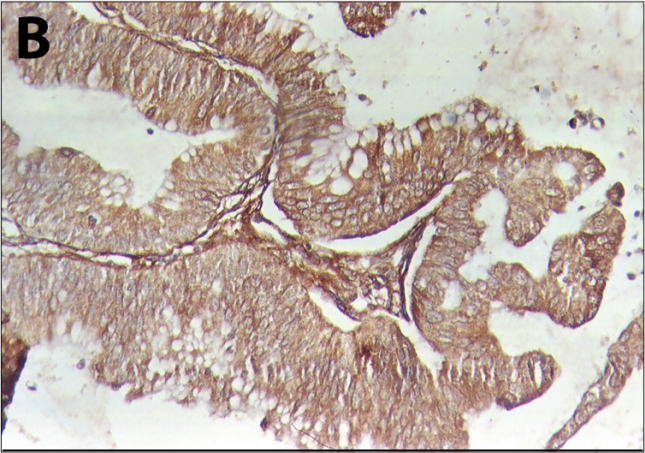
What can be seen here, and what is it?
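The cells stand in crowded palisades along thin fibrous stromal cores, and their nuclei are elongated and stacked. Many clear, round vacuoles resembling mucin lie within the epithelium, especially towards the luminal surface. Brown staining fills the cytoplasm and accentuates the cell borders, giving the epithelium a uniformly brown appearance. The stroma between the folds is narrow and shows darker brown fibrous strands.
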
